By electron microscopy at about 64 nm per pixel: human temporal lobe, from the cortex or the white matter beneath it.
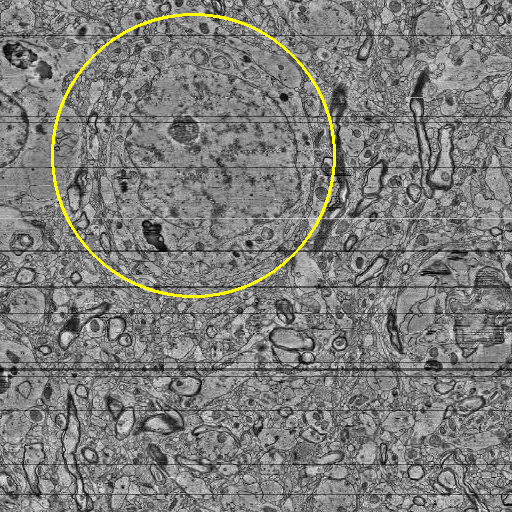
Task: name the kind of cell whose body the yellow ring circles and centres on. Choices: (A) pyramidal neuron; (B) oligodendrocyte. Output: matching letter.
A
